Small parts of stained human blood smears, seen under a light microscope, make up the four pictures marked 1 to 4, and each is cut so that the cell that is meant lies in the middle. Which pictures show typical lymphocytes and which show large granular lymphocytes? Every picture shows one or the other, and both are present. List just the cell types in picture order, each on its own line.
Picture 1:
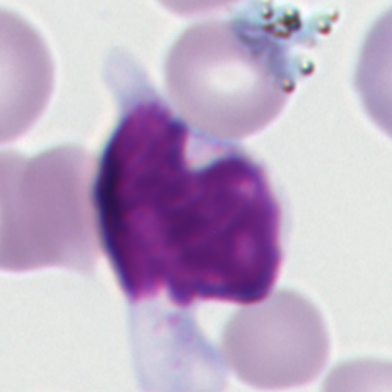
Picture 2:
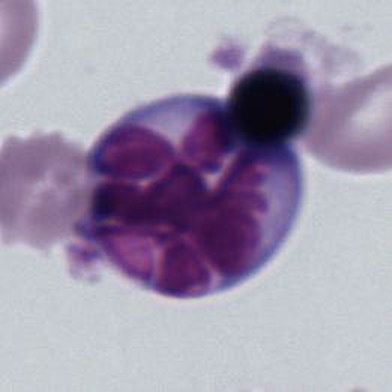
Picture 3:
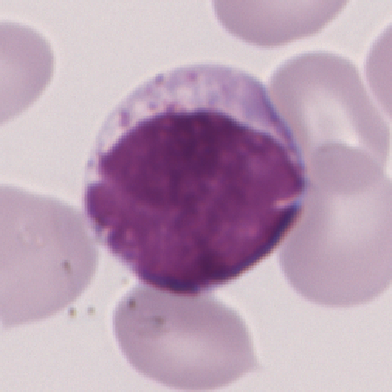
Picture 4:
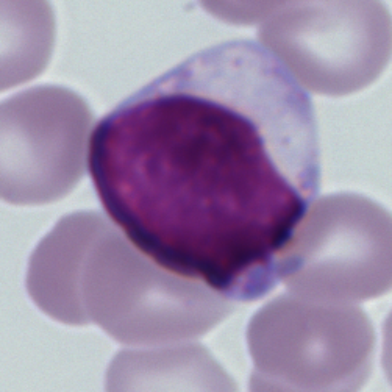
large granular lymphocyte
typical lymphocyte
large granular lymphocyte
large granular lymphocyte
